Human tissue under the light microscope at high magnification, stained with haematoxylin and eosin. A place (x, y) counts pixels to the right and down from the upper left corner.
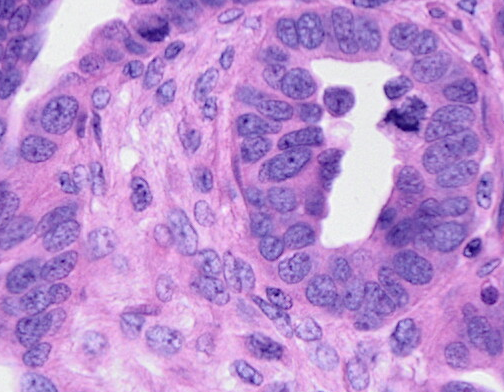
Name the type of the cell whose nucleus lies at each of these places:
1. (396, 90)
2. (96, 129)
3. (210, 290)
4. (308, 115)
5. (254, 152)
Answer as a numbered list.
1. carcinoma cell
2. fibroblast
3. fibroblast
4. carcinoma cell
5. carcinoma cell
